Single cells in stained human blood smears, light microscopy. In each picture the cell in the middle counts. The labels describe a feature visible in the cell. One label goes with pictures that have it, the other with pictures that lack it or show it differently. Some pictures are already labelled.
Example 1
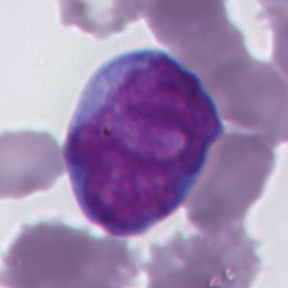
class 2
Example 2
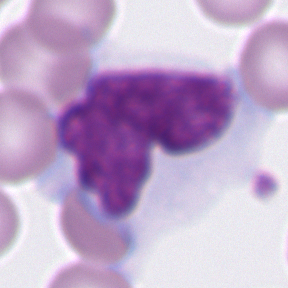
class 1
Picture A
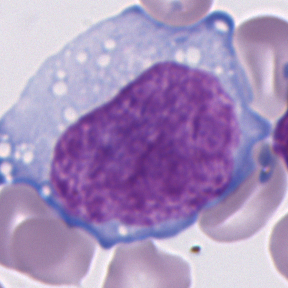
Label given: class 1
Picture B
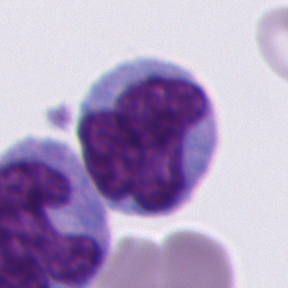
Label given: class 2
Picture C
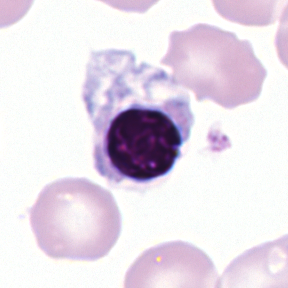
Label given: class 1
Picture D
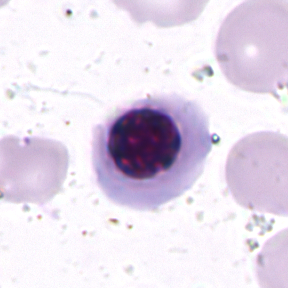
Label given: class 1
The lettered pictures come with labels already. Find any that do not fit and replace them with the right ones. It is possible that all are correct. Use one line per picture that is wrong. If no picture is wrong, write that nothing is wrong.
Every label is right.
